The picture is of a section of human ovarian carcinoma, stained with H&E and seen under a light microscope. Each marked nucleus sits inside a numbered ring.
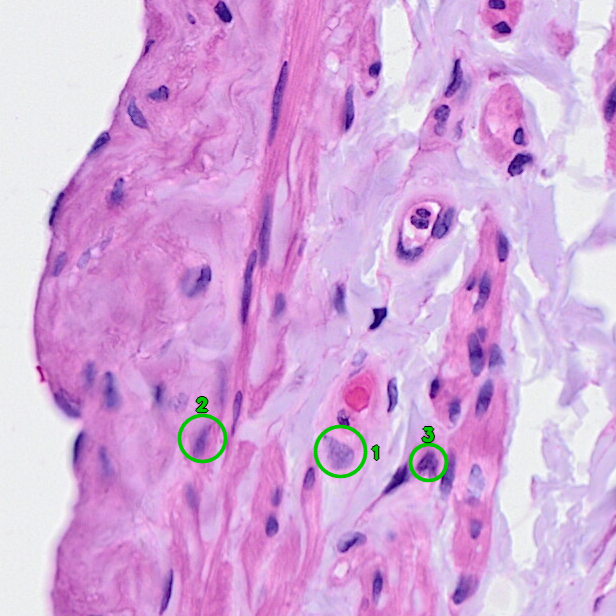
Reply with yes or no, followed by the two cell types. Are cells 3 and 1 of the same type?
Yes, going by number, cells 3 and 1 are both endothelial cells.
